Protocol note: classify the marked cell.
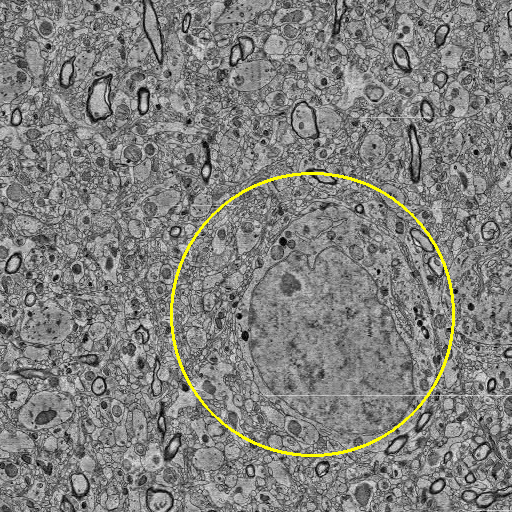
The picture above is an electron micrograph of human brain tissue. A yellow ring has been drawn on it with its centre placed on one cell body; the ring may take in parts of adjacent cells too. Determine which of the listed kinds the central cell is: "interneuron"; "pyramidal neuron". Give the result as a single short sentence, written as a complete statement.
The central cell is an interneuron.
